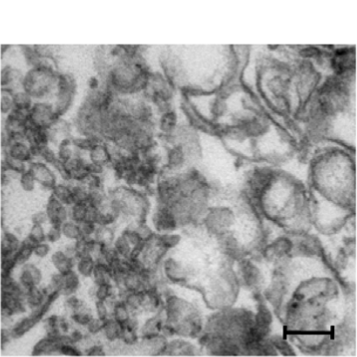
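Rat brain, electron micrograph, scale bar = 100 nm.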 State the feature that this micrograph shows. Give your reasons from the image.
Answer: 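Many small round membrane-bound profiles crowd the field. A few larger round membrane profiles lie among the small ones. That points to this answer: small vesicles.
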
